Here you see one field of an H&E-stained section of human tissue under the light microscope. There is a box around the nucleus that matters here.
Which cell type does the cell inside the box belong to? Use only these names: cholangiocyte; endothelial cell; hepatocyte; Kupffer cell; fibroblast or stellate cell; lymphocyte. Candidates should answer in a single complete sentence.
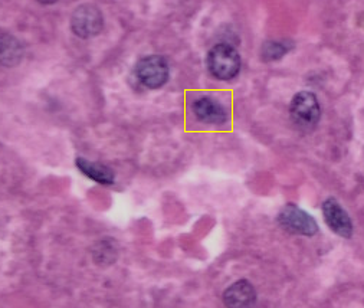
In this tissue section, the cell inside the box is to be classed as a fibroblast or stellate cell.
